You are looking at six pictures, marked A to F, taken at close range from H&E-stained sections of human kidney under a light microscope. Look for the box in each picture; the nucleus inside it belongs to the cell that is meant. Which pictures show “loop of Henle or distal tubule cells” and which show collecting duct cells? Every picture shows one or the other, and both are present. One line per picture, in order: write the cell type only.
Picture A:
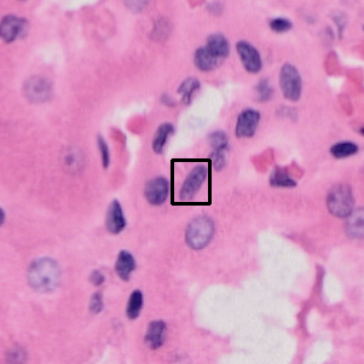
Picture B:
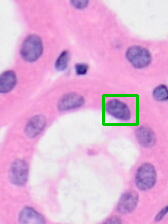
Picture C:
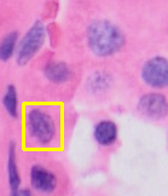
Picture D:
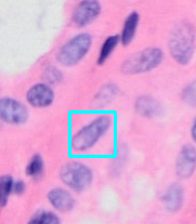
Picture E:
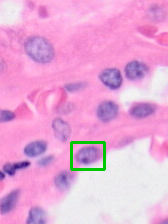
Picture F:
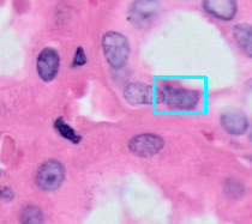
collecting duct cell
loop of Henle or distal tubule cell
loop of Henle or distal tubule cell
collecting duct cell
loop of Henle or distal tubule cell
collecting duct cell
